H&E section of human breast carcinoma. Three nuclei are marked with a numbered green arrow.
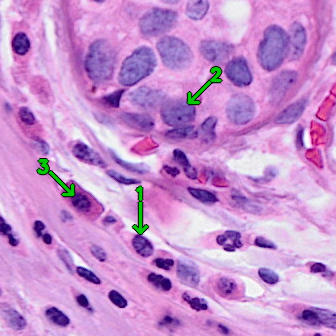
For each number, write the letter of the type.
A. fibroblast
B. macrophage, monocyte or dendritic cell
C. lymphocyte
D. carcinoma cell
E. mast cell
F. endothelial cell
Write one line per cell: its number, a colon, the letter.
1: E
2: D
3: E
